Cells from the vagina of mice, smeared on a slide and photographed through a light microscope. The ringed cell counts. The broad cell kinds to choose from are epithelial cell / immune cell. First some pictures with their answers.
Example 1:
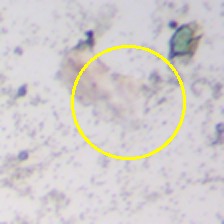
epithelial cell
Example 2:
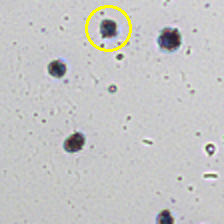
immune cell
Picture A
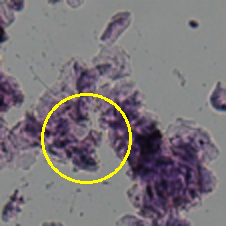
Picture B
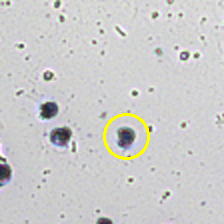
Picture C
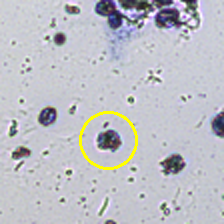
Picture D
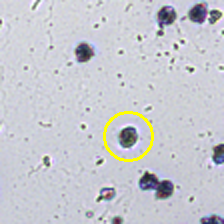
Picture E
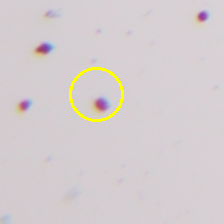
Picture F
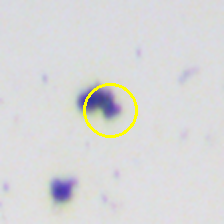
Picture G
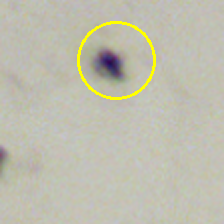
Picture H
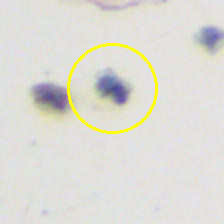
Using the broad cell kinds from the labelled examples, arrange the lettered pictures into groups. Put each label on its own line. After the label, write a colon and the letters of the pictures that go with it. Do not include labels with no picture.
epithelial cell: A
immune cell: B, C, D, E, F, G, H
